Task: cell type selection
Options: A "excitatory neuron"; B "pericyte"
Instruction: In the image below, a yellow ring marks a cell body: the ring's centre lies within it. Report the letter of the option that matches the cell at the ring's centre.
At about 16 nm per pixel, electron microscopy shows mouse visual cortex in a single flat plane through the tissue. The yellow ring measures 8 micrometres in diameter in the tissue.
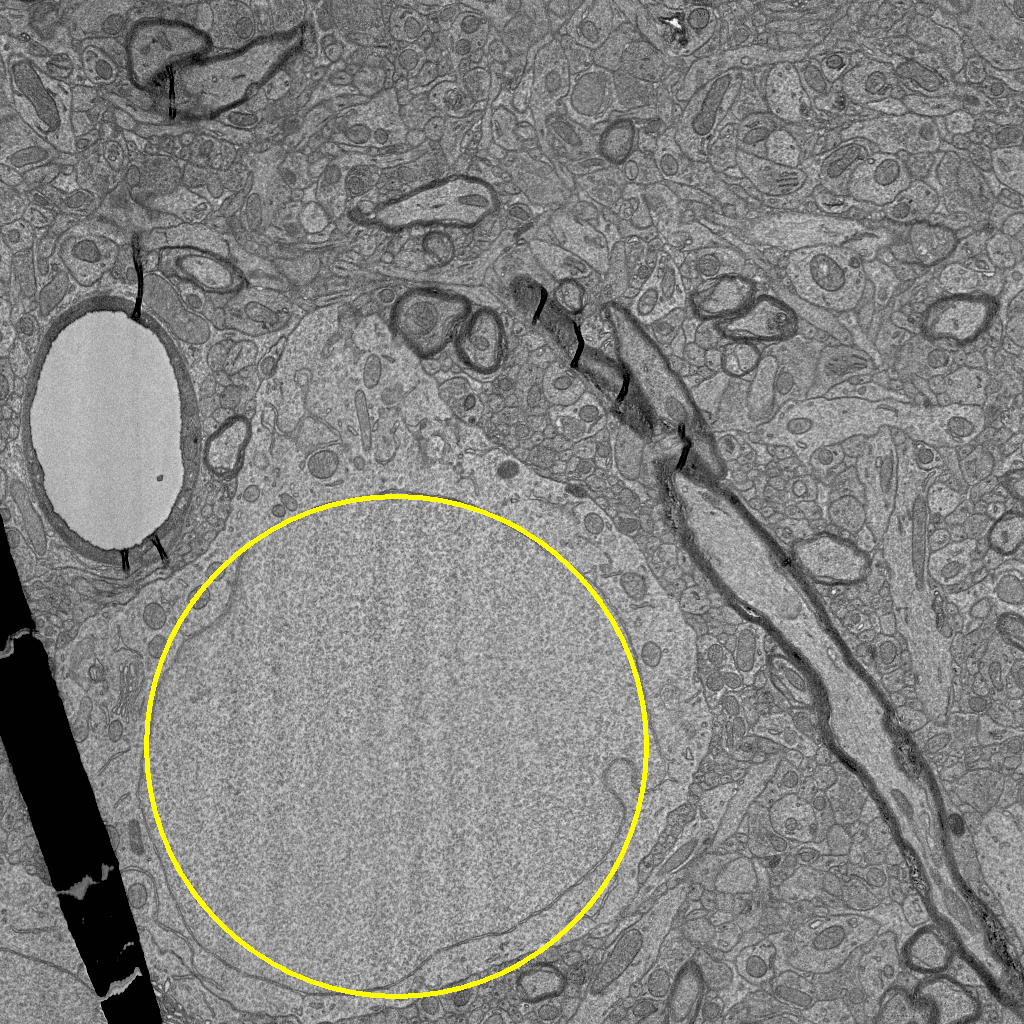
A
